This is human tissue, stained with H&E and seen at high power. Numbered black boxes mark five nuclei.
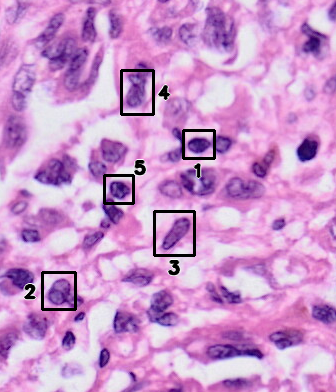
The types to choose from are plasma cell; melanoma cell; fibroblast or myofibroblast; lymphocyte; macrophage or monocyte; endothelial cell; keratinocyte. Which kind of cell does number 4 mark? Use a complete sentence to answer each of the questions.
The cell referenced by the number 4 is a melanoma cell in this field.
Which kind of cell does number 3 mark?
Regarding cell 3, this one is a macrophage or monocyte.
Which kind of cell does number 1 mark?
The cell marked with the number 1 is a lymphocyte.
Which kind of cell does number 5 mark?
The nucleus labelled 5 belongs to a lymphocyte.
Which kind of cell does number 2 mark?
The one numbered 2 among the marked cells is a macrophage or monocyte.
